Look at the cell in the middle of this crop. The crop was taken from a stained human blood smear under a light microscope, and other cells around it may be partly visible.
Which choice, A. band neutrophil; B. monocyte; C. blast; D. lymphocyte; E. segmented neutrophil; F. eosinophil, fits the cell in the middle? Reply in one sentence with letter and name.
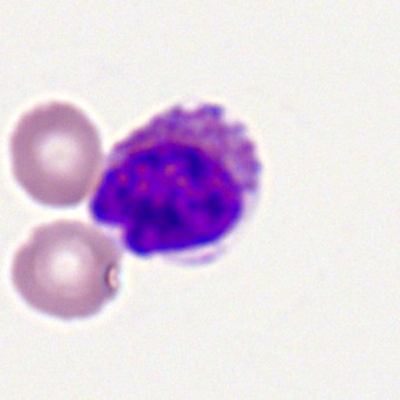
The central cell, an eosinophil, is correctly identified by option F.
